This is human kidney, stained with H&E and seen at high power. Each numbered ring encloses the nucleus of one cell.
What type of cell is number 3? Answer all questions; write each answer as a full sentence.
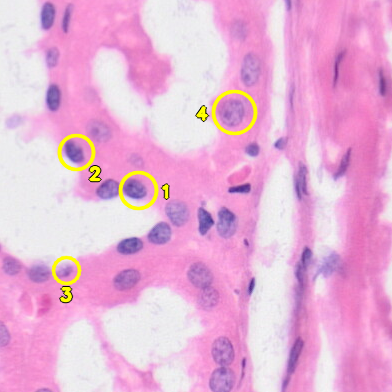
The cell to which the number 3 is assigned is a loop of Henle or distal tubule cell.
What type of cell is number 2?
The one numbered 2 among the marked cells is a loop of Henle or distal tubule cell.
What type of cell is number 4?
Corresponding to a proximal tubule cell is the cell labelled 4.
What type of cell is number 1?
The cell tagged with 1 in this tissue section is a loop of Henle or distal tubule cell.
